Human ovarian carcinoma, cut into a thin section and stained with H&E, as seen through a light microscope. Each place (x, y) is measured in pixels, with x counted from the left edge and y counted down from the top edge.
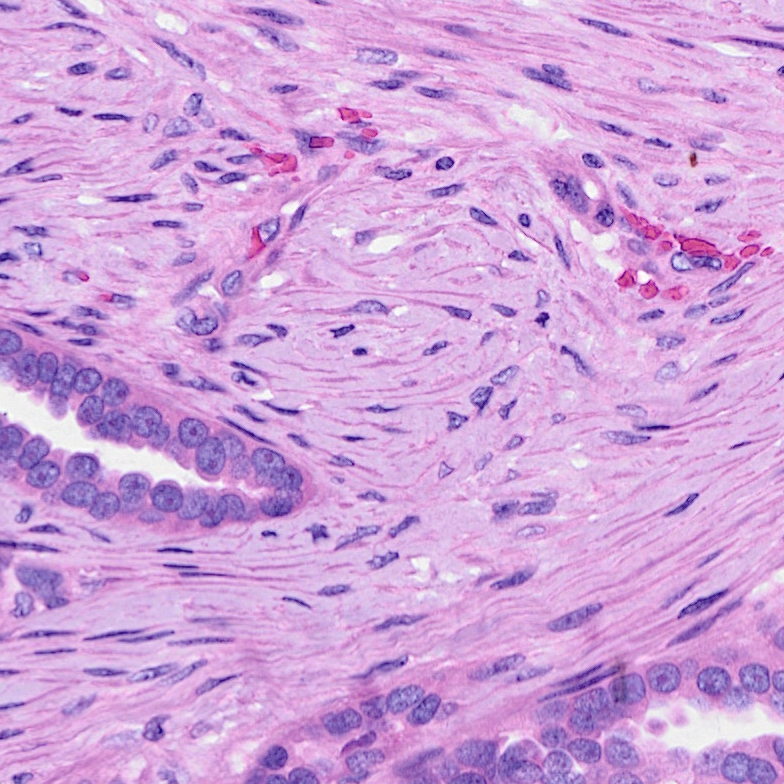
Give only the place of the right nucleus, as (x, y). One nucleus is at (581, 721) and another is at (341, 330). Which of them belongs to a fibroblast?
(341, 330)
